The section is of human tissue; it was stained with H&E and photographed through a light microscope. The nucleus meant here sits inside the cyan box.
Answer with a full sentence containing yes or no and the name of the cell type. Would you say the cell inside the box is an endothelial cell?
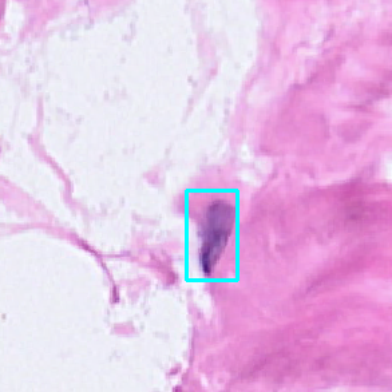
No, it is a fibroblast, not an endothelial cell, that the cell inside the box represents.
